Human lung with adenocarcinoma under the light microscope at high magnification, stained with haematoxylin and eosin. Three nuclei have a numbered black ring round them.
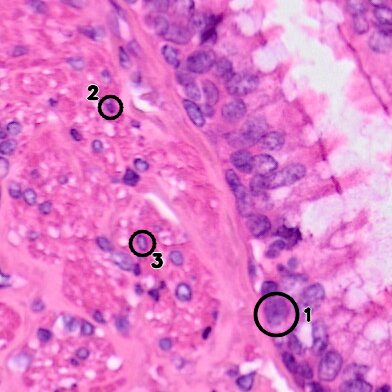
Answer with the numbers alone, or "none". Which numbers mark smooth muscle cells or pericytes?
2, 3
